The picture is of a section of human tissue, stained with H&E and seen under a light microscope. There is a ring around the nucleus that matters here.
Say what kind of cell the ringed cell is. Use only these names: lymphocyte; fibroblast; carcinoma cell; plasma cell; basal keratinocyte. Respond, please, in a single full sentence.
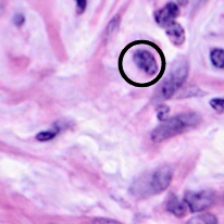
With respect to cell type, the ringed cell is a lymphocyte.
